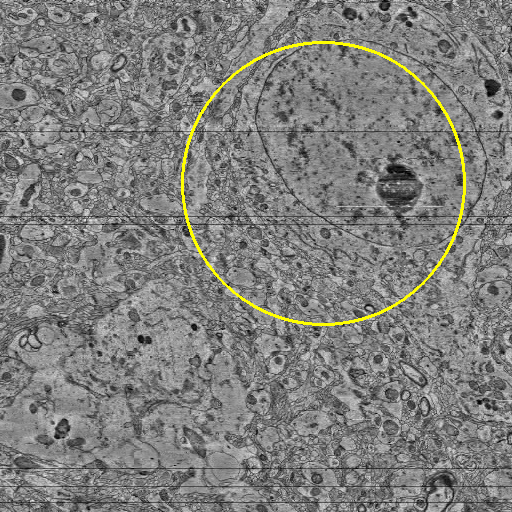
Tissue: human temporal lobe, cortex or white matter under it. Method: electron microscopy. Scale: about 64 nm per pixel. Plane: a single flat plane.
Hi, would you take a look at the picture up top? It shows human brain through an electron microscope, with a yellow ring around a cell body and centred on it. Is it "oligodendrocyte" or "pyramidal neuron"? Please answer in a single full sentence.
The best fit for the cell in the middle of the ring is a pyramidal neuron, I reckon.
